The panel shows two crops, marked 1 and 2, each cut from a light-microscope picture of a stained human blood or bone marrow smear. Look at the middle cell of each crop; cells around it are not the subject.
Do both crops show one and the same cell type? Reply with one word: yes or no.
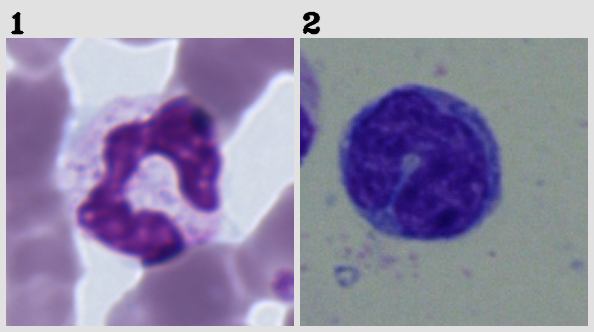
no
